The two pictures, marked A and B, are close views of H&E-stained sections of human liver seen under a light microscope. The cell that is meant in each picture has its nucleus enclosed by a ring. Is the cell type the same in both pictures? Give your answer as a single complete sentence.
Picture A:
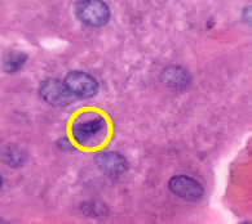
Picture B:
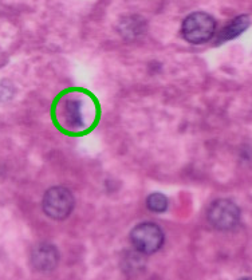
No, the types are not the same, since picture A shows a “fibroblast or stellate cell” and picture B an endothelial cell.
